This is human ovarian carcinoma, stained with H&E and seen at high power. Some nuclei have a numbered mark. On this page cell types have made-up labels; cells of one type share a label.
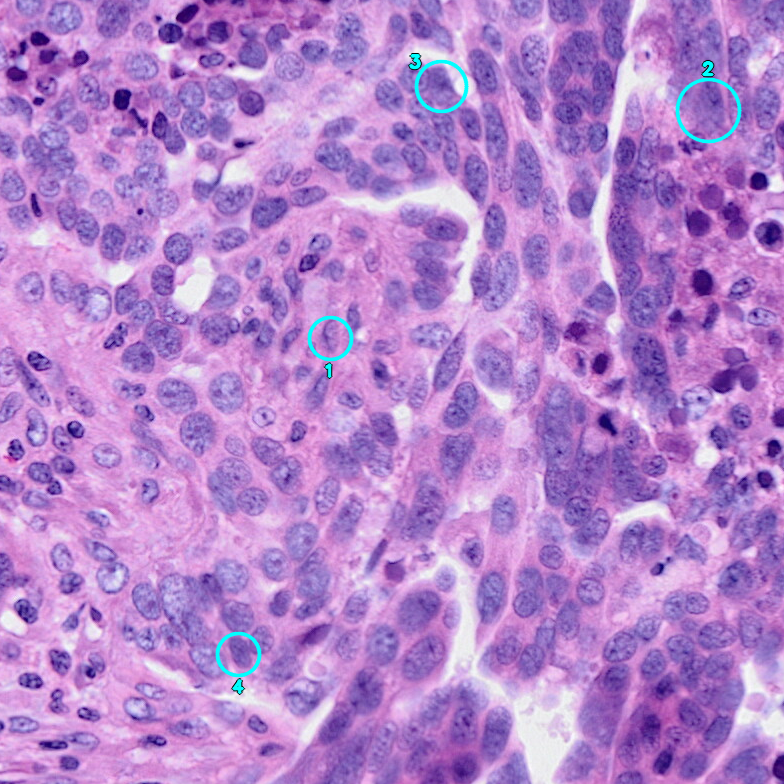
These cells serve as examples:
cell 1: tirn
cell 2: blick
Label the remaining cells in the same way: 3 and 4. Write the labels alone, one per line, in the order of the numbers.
blick
blick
